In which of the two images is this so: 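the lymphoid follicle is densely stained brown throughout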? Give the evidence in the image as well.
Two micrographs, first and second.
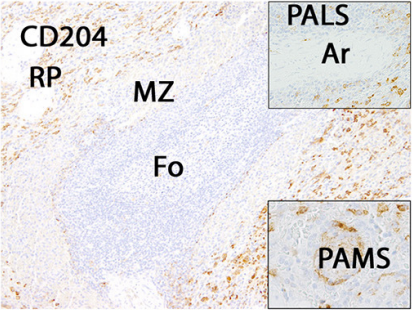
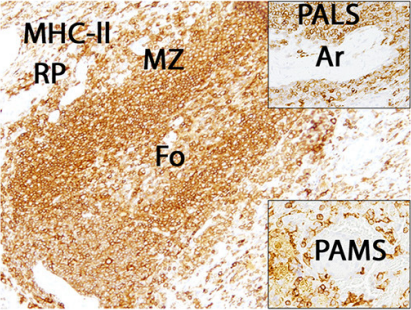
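The second image. First image: the follicle is pale blue with almost no brown cells; brown cells lie mainly in the surrounding tissue. Second image: the follicle and its rim are filled with densely packed brown-stained cells.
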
